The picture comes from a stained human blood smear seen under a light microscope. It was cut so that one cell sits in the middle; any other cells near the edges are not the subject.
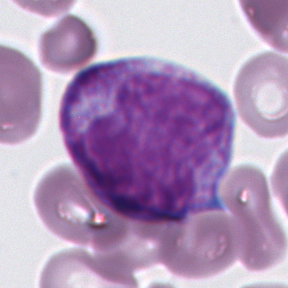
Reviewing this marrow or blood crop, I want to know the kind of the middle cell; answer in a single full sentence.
The cell positioned in the middle of the field is an atypical promyelocyte.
